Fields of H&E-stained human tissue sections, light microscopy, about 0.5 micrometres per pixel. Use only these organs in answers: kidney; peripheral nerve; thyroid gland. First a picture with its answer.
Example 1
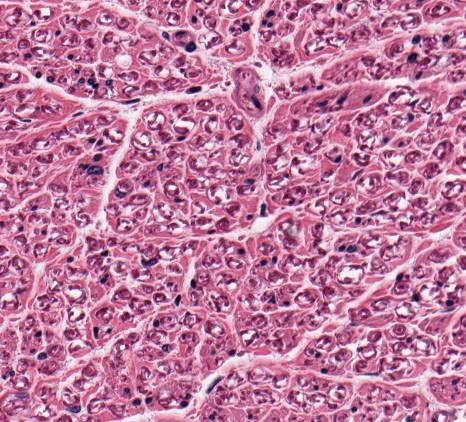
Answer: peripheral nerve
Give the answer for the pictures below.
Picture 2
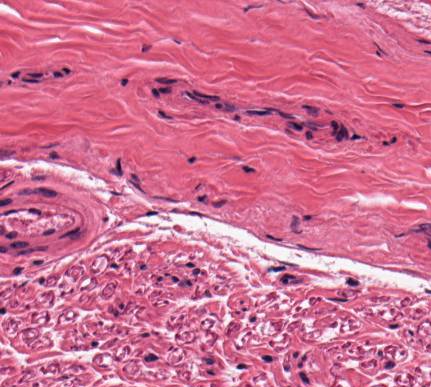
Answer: peripheral nerve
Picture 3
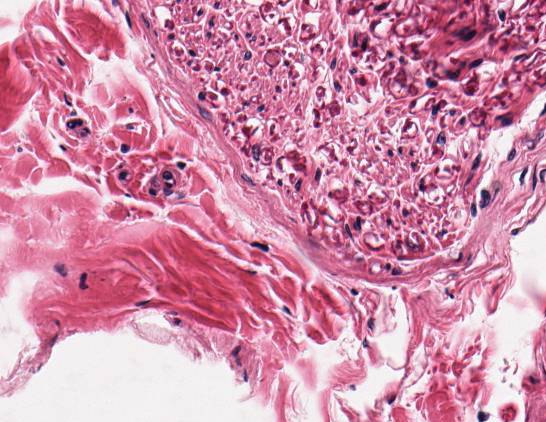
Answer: peripheral nerve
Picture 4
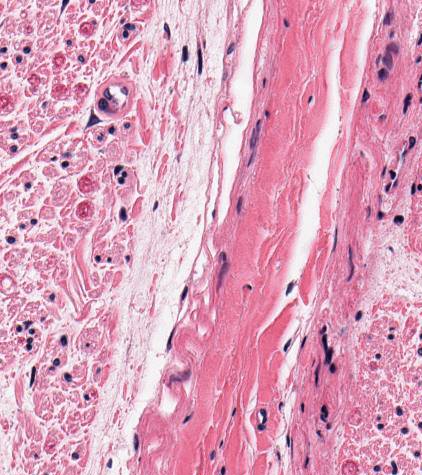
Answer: peripheral nerve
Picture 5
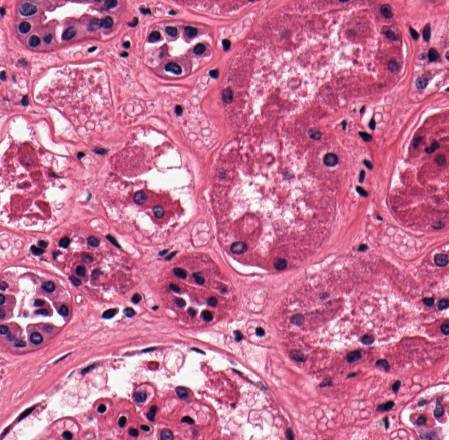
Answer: kidney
